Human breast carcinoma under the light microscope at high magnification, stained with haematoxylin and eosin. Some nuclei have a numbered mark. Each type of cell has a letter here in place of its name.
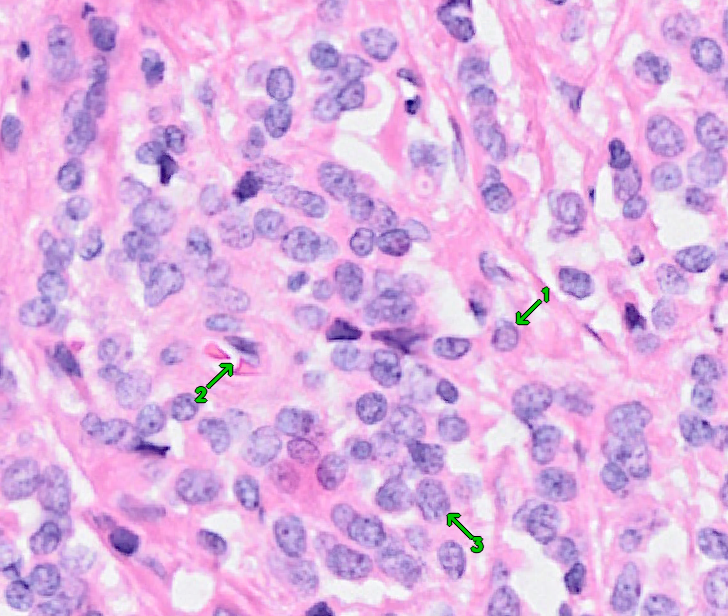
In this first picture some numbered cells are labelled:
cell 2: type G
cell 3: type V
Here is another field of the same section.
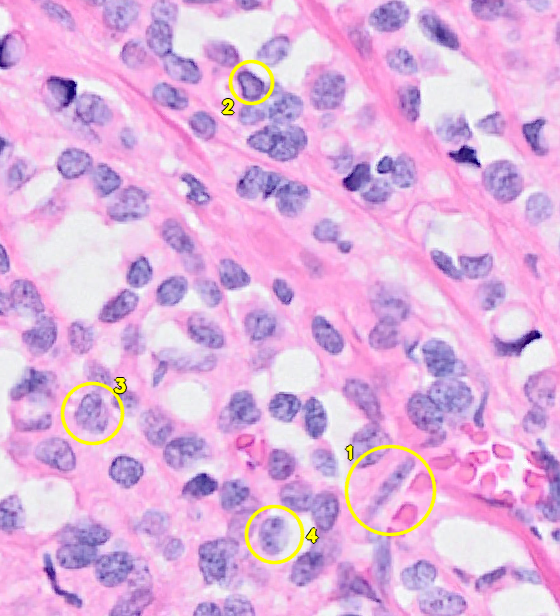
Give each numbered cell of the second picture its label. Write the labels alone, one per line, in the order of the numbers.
type G
type V
type V
type V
